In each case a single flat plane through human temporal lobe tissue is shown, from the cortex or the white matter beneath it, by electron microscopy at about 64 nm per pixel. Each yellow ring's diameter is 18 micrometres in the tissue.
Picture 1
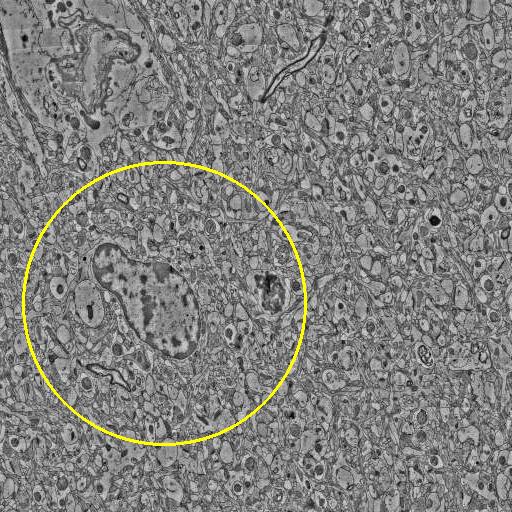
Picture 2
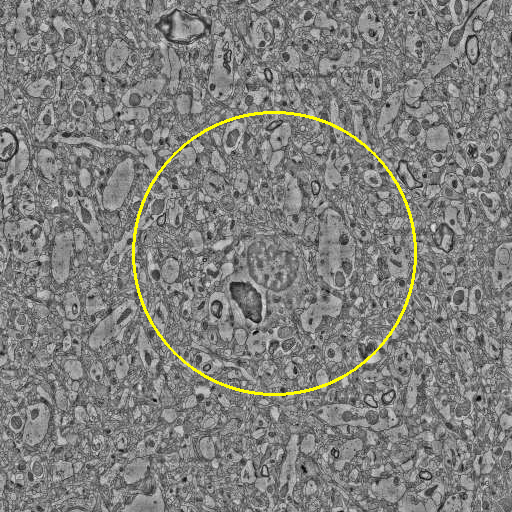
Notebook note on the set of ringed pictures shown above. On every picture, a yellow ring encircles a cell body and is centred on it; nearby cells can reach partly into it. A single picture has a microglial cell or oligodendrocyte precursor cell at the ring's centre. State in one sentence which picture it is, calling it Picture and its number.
Picture 1 is the one whose ring is centred on the sought cell.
